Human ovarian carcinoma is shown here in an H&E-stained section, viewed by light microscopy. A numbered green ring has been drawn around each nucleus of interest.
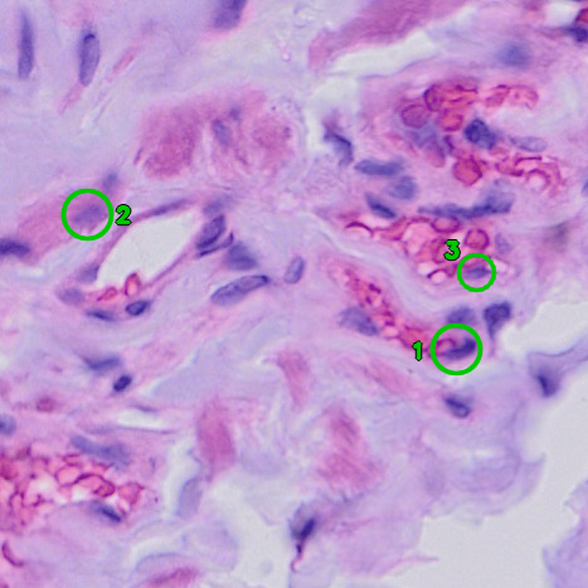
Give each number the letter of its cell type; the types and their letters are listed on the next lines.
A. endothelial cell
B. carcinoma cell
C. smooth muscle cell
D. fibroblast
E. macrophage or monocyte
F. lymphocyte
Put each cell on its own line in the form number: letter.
1: A
2: C
3: A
